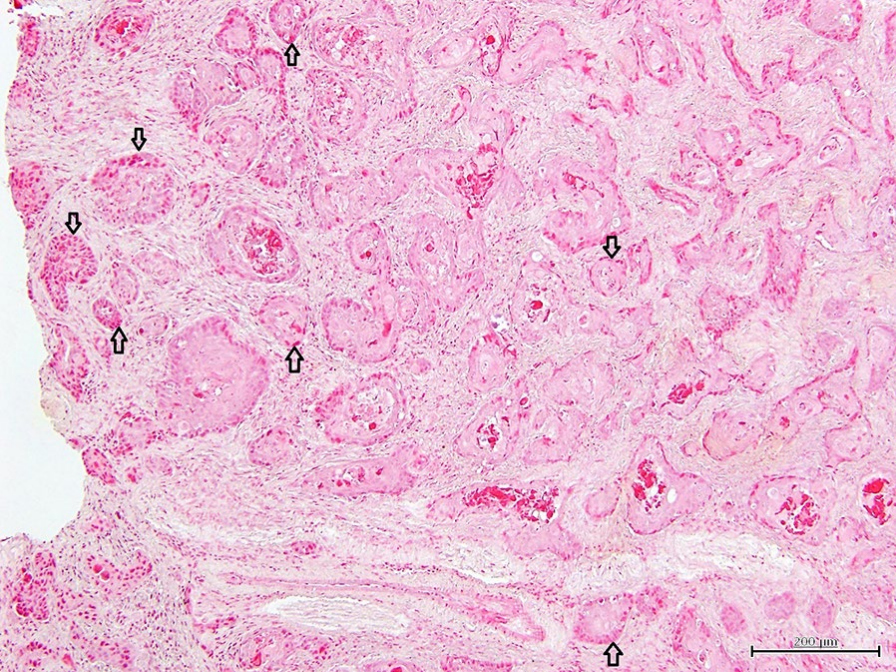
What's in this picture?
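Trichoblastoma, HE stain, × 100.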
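Some islands, mostly toward the left edge, are solid nests of small crowded cells. These cells have dark, deeply stained nuclei and scant cytoplasm. Other islands have a rim of similar small cells surrounding a paler, eosinophilic centre, and some of these centres hold clumps of bright red material. Toward the right the islands become more irregular and branching and stain paler. The stroma between them is loose and fibrillar, with scattered spindle-shaped nuclei. Elongated strands and cleft-like spaces run across the lower part of the field.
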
